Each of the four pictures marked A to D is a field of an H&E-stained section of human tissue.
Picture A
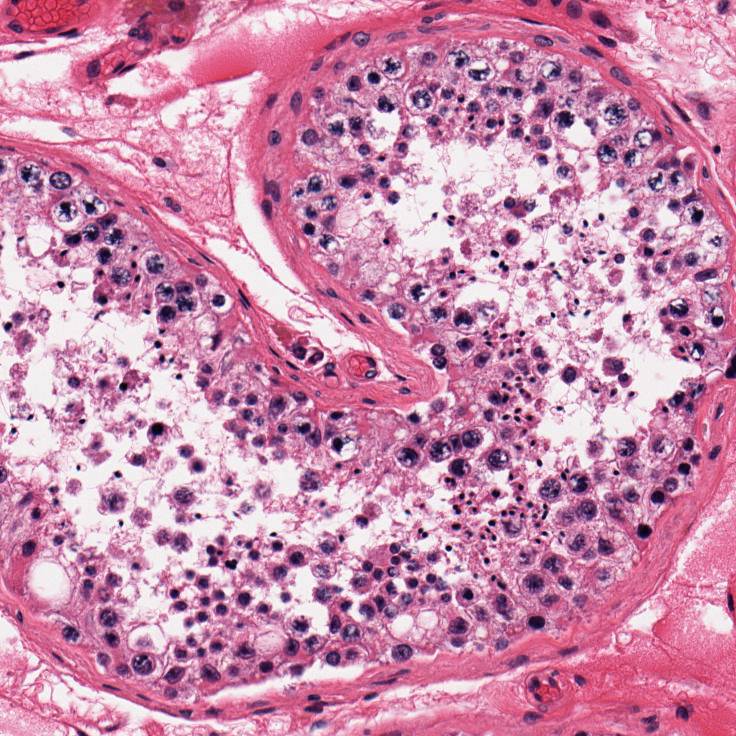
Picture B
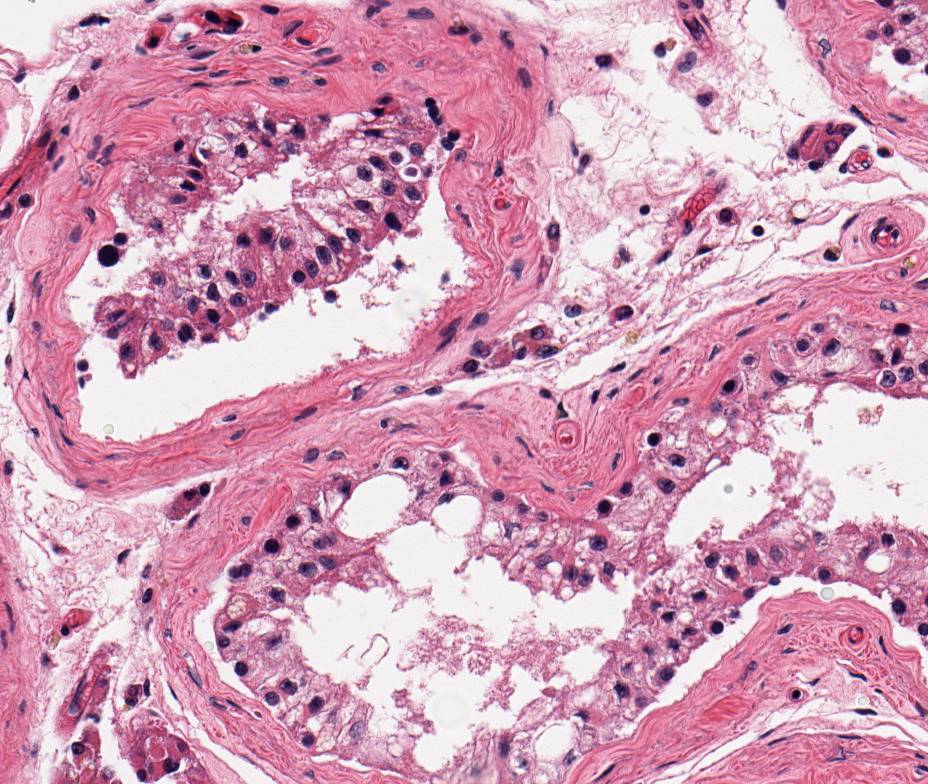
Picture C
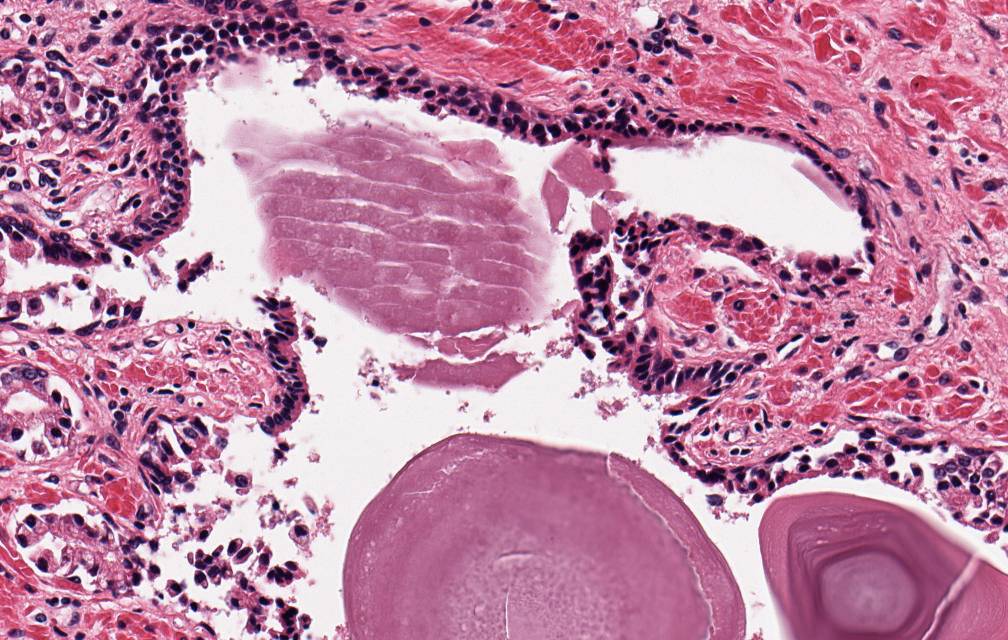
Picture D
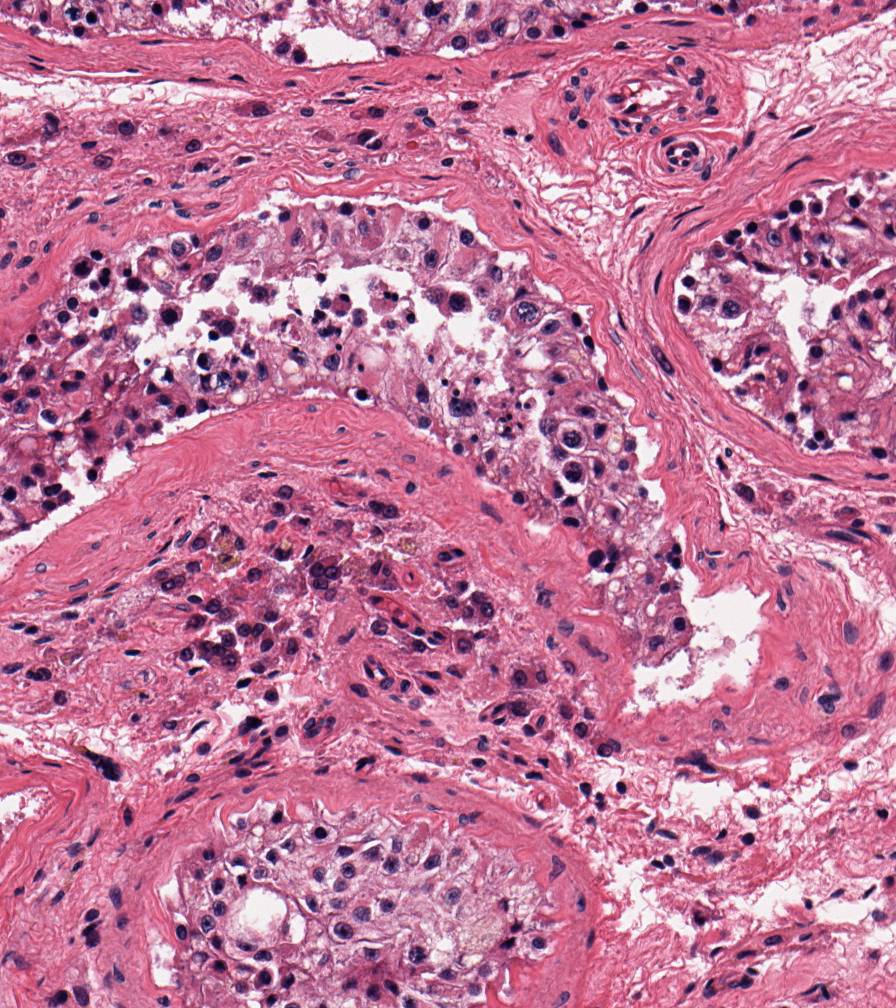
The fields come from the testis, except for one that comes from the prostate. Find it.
C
